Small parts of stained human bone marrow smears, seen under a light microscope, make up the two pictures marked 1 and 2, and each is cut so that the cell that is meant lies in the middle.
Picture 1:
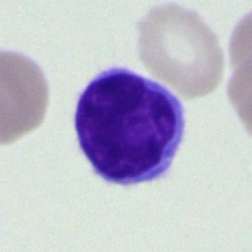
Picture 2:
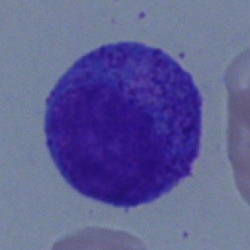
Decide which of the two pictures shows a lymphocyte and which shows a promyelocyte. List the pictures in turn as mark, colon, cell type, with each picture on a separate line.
1: lymphocyte
2: promyelocyte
